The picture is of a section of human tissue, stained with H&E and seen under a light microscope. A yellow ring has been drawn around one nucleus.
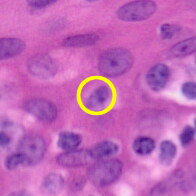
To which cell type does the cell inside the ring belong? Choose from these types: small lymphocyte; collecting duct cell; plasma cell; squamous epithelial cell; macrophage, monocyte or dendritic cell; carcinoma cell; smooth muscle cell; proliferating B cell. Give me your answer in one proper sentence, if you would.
Within the stained tissue, the cell inside the ring is a squamous epithelial cell.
